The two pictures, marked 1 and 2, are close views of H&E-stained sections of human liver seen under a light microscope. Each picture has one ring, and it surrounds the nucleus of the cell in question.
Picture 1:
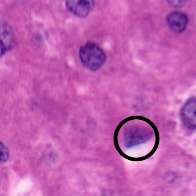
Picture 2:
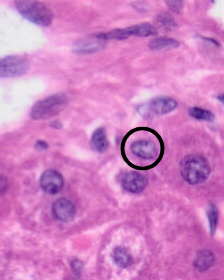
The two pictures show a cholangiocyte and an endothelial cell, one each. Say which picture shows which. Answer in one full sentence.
In picture 1 the cell is an endothelial cell; in picture 2, a cholangiocyte.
